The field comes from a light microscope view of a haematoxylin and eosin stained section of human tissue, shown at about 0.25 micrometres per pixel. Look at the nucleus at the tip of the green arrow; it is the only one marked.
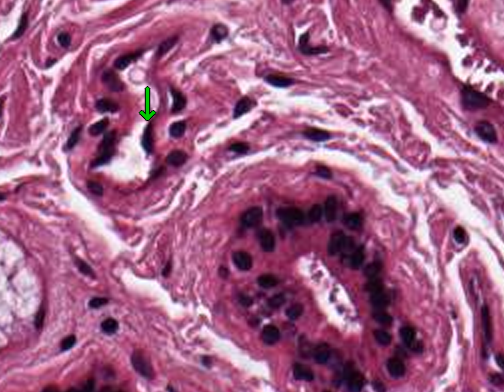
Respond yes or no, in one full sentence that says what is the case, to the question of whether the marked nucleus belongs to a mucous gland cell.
No, the owner of the marked nucleus is a supporting cell, not a mucous gland cell.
